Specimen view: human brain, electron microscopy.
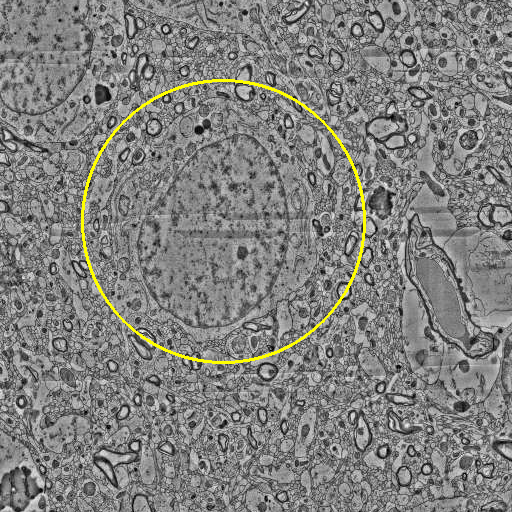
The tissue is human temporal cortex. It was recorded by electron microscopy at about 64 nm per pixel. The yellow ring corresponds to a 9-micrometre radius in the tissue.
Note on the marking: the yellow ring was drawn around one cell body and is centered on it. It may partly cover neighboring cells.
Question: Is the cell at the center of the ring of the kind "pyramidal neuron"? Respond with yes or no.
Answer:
no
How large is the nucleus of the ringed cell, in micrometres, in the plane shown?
The nucleus appears roughly 13 by 9 micrometres in this plane.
